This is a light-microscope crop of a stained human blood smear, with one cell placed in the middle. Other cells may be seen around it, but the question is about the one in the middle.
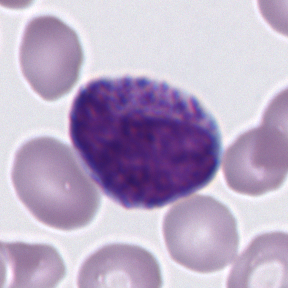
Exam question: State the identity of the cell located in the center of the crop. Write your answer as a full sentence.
The central element of this crop is a cell, namely a basophil.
